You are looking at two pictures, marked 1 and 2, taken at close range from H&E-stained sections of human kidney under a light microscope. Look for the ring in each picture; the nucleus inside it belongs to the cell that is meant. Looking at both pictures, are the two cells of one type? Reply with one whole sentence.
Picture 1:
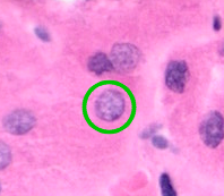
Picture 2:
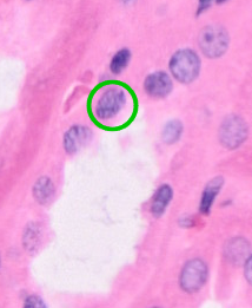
No, the types are not the same, since picture 1 shows a proximal tubule cell and picture 2 a “loop of Henle or distal tubule cell”.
